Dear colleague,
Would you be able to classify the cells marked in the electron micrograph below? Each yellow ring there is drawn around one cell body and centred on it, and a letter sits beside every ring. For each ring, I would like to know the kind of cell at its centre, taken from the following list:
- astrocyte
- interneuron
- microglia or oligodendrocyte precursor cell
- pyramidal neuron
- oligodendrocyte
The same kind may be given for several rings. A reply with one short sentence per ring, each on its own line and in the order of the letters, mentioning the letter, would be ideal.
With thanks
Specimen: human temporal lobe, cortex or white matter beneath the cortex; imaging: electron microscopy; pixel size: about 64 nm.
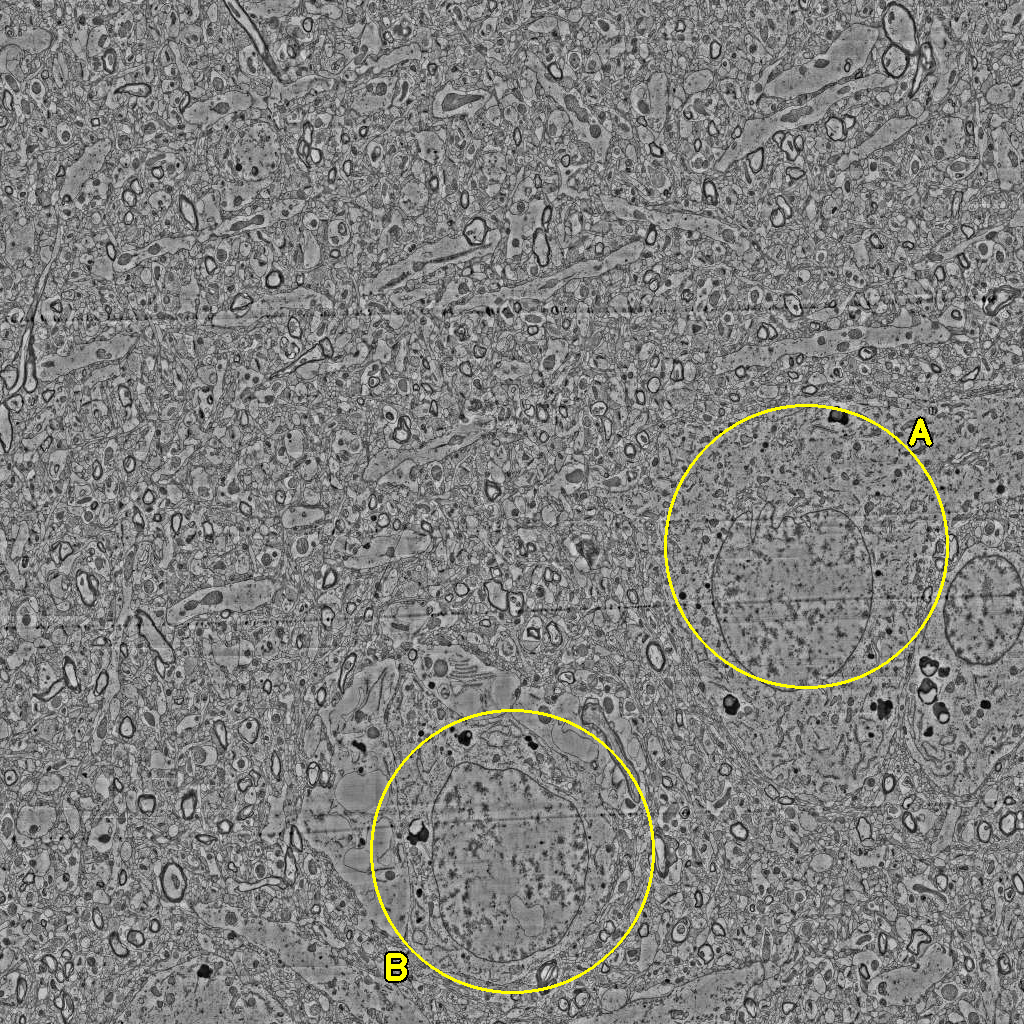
Ring A contains a pyramidal neuron at its centre.
Ring B contains a pyramidal neuron at its centre.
